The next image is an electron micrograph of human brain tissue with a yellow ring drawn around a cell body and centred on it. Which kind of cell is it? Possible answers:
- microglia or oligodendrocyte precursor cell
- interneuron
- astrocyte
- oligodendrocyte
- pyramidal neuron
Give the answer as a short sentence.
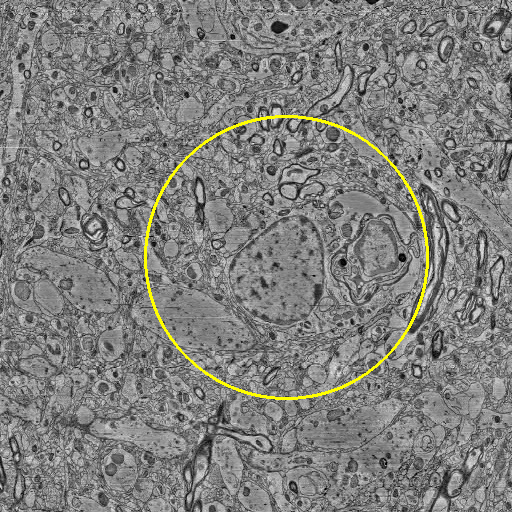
In the ring's centre is a microglial cell or oligodendrocyte precursor cell.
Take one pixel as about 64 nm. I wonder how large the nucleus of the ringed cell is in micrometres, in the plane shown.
About 7 micrometres by about 6 micrometres in this plane.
